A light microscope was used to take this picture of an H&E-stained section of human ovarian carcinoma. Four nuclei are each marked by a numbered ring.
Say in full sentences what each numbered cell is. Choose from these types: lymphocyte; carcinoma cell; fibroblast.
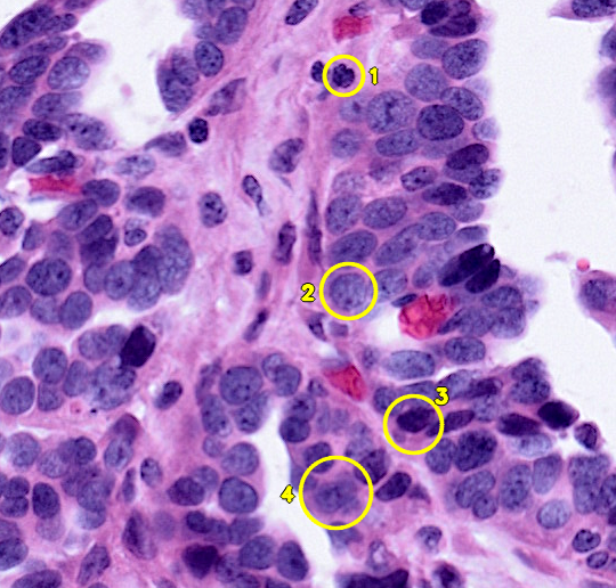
Cell 1 is a lymphocyte. Cells 2, 3 and 4 are carcinoma cells.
